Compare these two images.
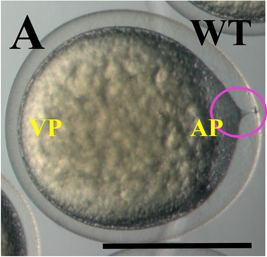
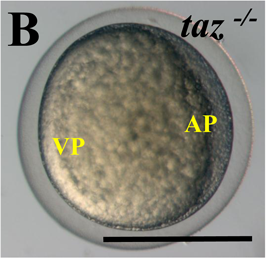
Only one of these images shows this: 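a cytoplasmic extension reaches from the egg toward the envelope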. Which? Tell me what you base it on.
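The first image. Second image: the egg surface at the animal side is smooth with no protrusion. First image: a small pointed protrusion extends from the animal side toward the envelope.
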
